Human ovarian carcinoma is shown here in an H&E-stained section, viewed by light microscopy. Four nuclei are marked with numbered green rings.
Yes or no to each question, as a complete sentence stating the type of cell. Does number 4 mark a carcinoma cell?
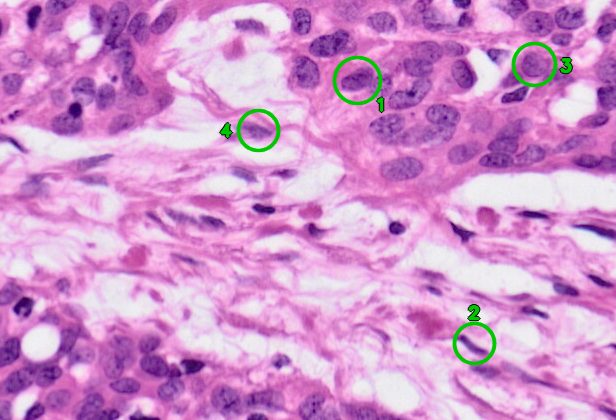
No, it is a fibroblast, rather than a carcinoma cell, that carries number 4.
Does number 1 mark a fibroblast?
No, the cell labelled number 1 is not a fibroblast; it is a carcinoma cell.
